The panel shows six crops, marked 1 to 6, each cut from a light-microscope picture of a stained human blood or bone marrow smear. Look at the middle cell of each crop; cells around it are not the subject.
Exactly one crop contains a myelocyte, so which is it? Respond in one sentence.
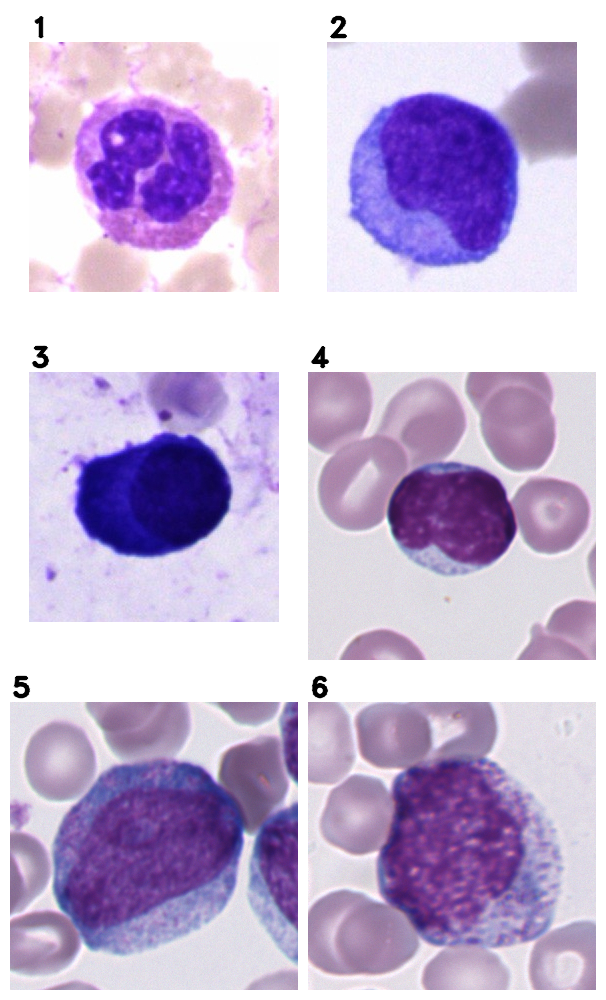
Crop 6 is the one in this set that shows a myelocyte.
